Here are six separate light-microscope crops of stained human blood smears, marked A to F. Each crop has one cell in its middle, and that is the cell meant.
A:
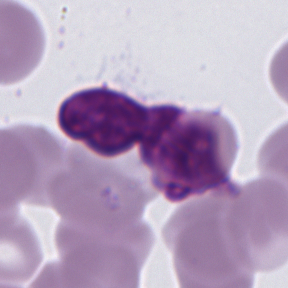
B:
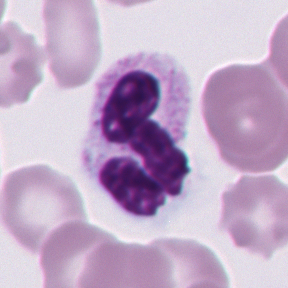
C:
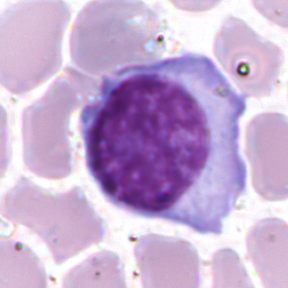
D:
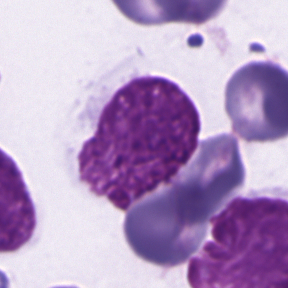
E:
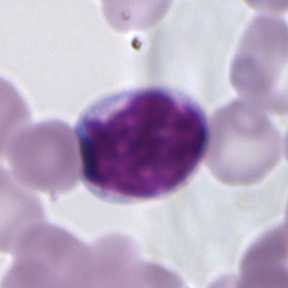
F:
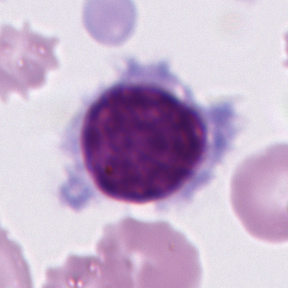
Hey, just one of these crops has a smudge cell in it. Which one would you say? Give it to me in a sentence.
The crop with a smudge cell in it is crop A.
